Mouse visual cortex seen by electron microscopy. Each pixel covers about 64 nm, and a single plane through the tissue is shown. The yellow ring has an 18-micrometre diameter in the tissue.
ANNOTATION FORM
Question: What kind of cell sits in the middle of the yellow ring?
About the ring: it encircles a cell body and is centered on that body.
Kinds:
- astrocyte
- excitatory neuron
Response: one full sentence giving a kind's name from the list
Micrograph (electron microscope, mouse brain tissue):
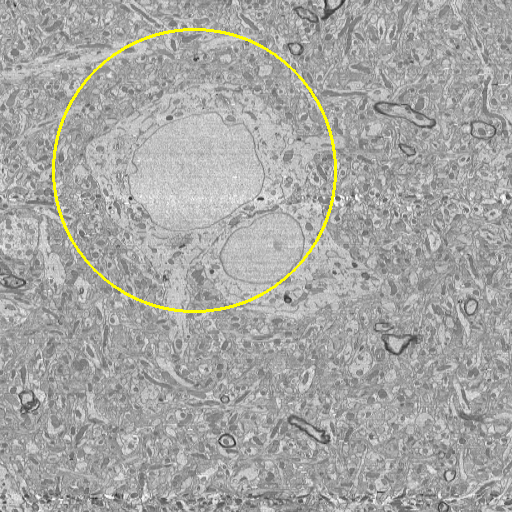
The kind of cell found at the center of the yellow ring in the micrograph is an excitatory neuron.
